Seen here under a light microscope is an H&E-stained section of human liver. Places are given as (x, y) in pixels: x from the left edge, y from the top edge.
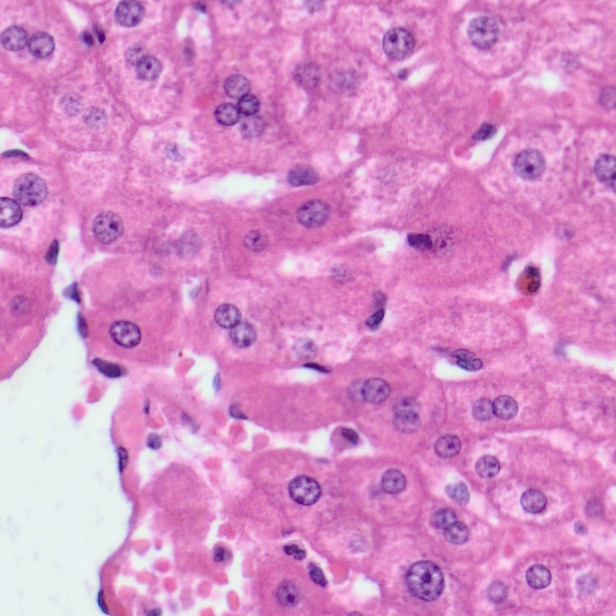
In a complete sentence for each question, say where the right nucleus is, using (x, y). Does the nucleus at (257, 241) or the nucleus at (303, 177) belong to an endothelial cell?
The cell to which the nucleus at (303, 177) belongs is an endothelial cell.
